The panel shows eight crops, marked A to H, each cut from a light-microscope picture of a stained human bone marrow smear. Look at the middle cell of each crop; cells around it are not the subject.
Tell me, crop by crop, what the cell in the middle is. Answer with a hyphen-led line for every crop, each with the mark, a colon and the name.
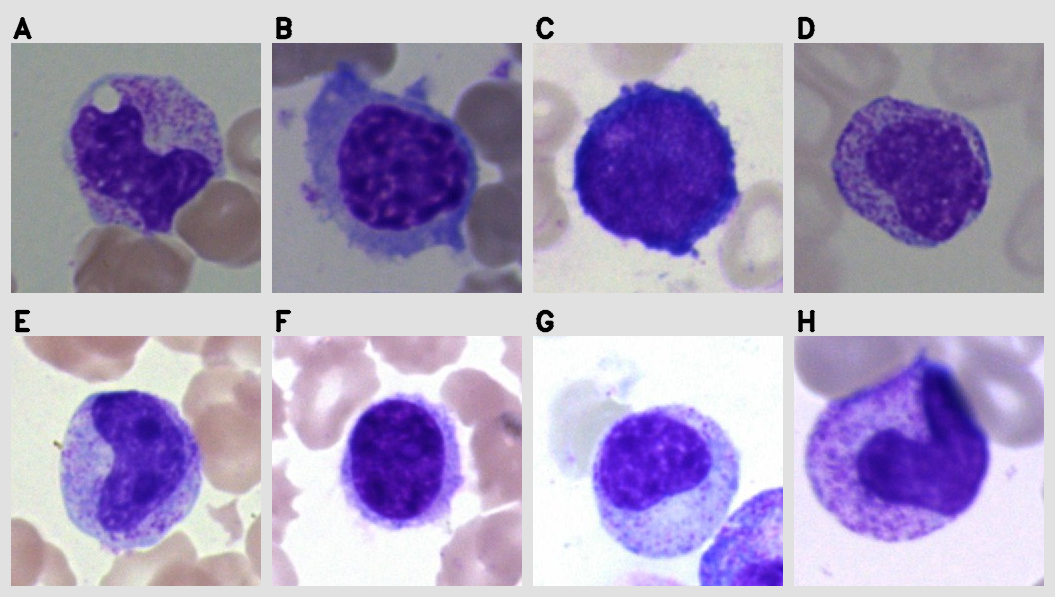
- A: metamyelocyte
- B: hairy cell
- C: proerythroblast
- D: myelocyte
- E: metamyelocyte
- F: hairy cell
- G: metamyelocyte
- H: metamyelocyte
